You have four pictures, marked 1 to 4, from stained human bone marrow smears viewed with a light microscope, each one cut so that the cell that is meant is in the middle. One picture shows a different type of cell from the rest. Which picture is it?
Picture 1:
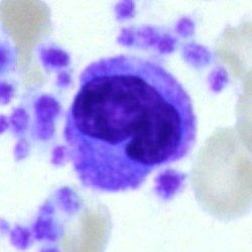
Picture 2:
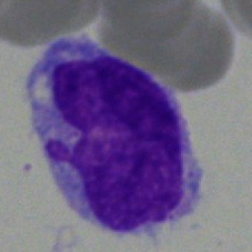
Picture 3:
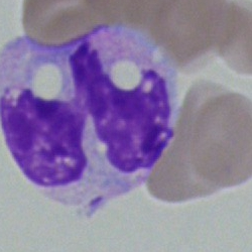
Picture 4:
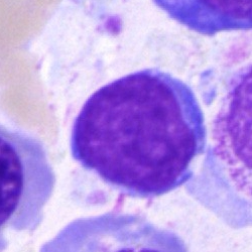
4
